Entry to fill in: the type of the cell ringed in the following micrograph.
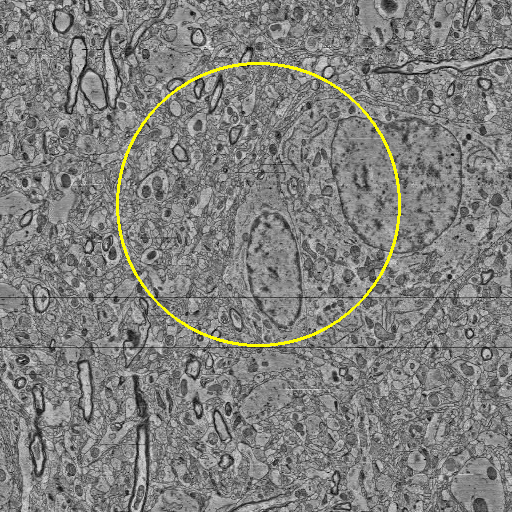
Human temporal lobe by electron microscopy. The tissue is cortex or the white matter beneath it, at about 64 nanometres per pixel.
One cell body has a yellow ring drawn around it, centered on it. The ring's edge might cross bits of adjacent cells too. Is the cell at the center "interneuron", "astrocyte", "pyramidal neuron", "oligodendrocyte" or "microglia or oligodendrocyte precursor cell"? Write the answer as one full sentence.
This entry names a microglial cell or oligodendrocyte precursor cell as the cell whose body lies at the ring's center.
